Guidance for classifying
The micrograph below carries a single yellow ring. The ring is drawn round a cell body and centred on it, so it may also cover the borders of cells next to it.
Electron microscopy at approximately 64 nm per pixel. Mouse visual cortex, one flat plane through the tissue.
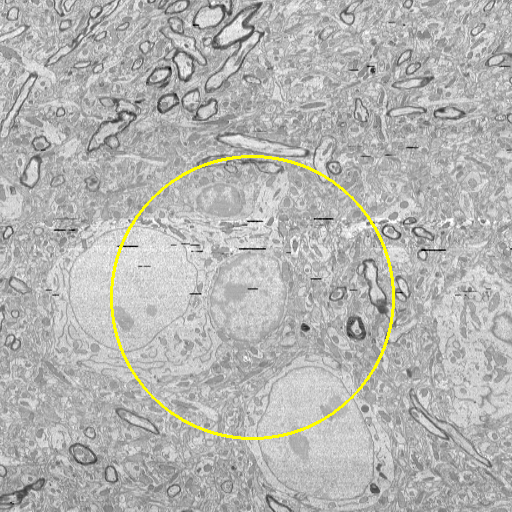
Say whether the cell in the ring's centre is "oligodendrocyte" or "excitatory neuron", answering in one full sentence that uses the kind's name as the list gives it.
Within the yellow ring, an oligodendrocyte is the cell whose body sits at the centre.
